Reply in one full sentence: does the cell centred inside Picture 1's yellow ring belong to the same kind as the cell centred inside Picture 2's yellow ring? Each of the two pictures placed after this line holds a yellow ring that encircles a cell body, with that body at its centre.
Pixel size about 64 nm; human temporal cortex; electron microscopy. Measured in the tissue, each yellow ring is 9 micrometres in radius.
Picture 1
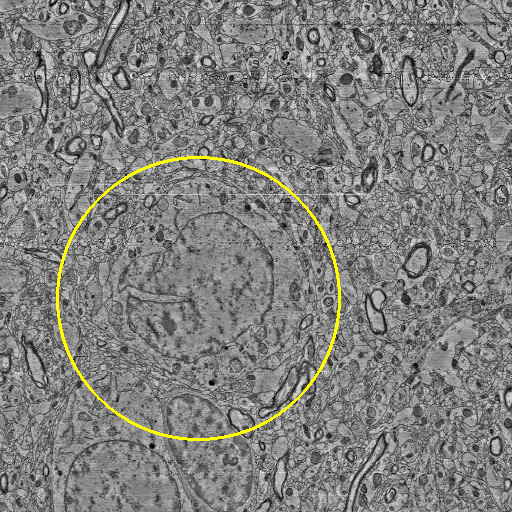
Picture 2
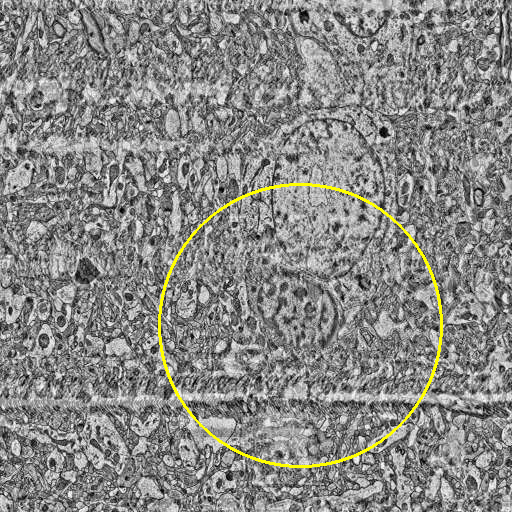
No, the ring-centred cells in Picture 1 and Picture 2 are of two separate kinds.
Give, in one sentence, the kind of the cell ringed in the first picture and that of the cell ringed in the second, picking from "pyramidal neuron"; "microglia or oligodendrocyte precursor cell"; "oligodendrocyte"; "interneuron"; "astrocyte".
For the first picture it is a pyramidal neuron; for the second, an oligodendrocyte.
